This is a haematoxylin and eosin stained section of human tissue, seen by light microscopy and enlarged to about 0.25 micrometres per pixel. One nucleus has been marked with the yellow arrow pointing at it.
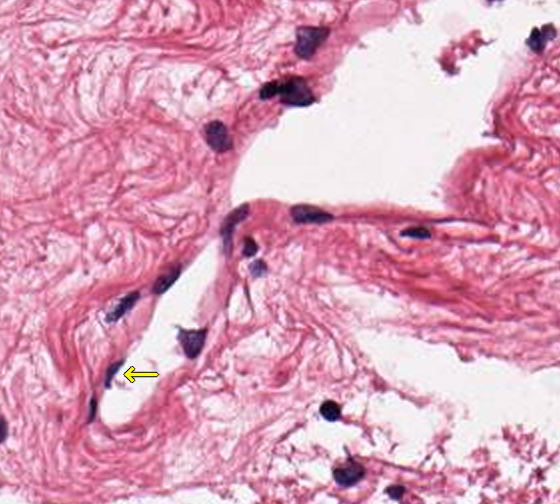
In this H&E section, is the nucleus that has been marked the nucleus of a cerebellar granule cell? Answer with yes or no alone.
no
